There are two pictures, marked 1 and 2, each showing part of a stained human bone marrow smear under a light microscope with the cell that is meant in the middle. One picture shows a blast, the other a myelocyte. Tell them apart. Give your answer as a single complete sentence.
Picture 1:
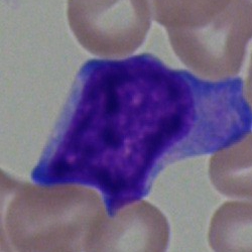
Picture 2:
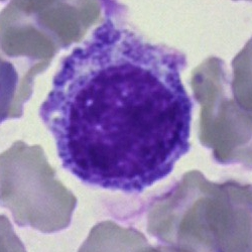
Picture 1 is of a blast, and picture 2 is of a myelocyte.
